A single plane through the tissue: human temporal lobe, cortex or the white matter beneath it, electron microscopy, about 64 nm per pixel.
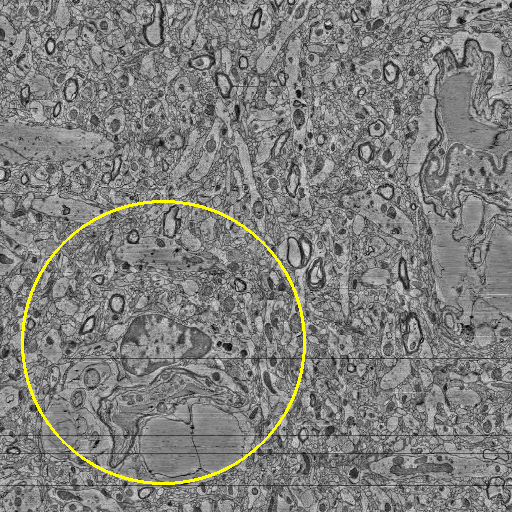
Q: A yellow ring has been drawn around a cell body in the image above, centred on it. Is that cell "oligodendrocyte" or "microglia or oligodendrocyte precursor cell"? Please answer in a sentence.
The ring surrounds the cell body of a microglial cell or oligodendrocyte precursor cell.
